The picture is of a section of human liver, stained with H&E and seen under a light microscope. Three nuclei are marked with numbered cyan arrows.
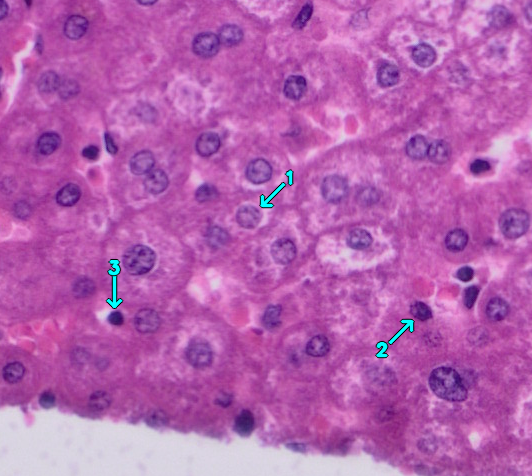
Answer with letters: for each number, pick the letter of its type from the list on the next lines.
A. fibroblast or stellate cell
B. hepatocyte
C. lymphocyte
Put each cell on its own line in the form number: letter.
1: B
2: A
3: C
